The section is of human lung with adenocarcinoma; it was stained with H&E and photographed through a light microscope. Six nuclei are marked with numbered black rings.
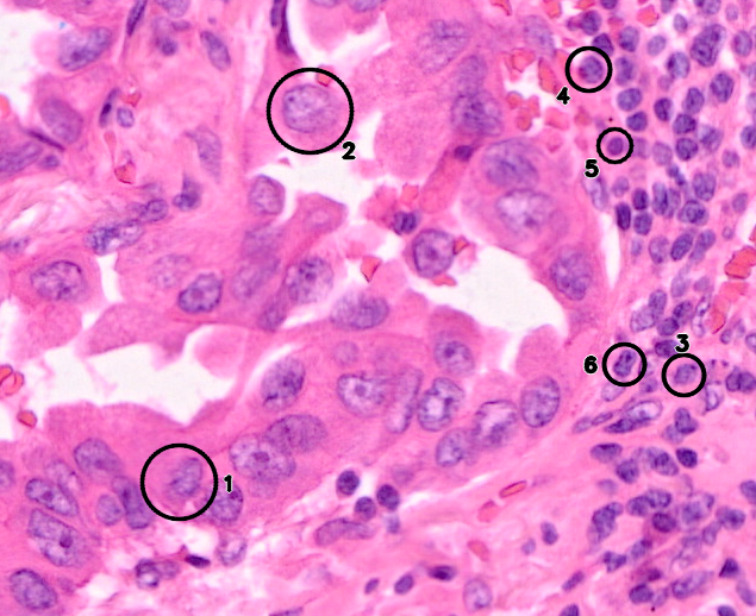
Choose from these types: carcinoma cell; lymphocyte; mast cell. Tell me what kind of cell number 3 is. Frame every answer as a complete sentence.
In this section, the cell tagged 3 is a lymphocyte.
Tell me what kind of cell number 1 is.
Classified as a carcinoma cell is the cell with the number 1.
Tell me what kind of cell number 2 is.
It is as a carcinoma cell that the cell numbered 2 is identified.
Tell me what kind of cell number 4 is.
At number 4, the marked cell is a lymphocyte.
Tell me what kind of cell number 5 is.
The cell to which the number 5 is assigned is a lymphocyte.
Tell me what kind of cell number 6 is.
Cell 6 is classified as a lymphocyte.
